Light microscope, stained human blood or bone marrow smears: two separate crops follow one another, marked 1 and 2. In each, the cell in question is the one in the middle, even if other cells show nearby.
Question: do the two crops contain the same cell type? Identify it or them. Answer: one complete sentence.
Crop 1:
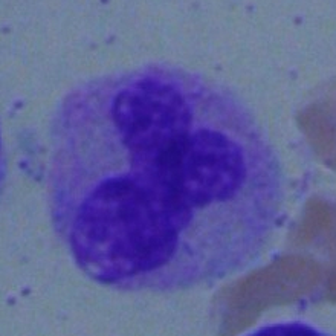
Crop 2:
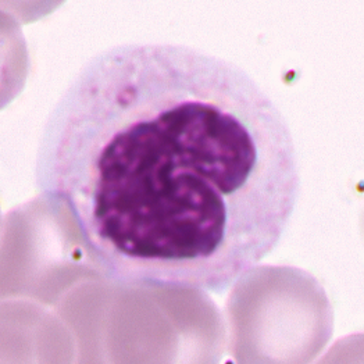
Yes, both the first crop and the second crop show band neutrophils.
